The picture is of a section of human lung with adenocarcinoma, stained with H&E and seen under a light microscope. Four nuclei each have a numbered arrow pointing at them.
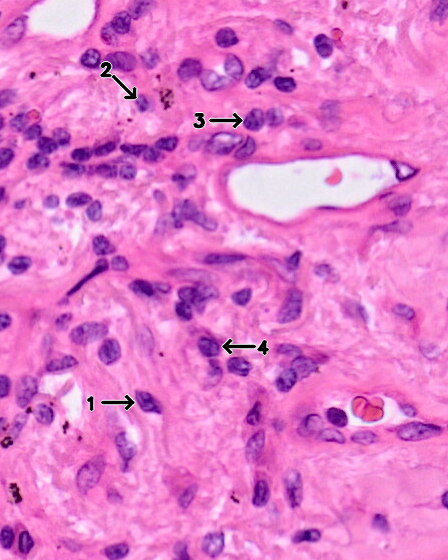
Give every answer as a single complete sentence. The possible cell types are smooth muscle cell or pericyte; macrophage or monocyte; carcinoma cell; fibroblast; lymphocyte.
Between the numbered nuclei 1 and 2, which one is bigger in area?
At about 2.5 times the area of nucleus 2, nucleus 1 is the larger of the two.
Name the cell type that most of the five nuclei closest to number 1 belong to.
Fibroblasts account for more than half of the five nuclei nearest to number 1.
